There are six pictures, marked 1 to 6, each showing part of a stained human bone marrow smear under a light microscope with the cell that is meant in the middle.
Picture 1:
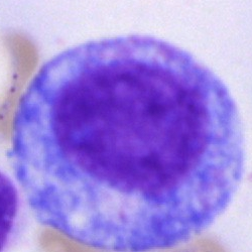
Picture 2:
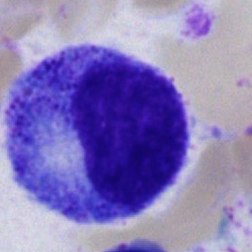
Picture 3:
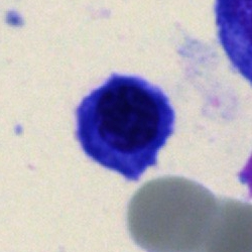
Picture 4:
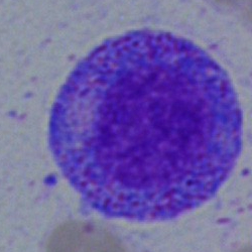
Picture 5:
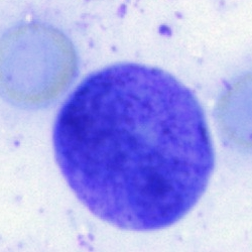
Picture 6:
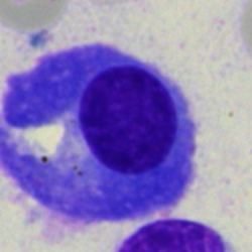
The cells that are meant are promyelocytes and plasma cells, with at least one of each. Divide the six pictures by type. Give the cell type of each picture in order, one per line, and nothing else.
promyelocyte
promyelocyte
plasma cell
promyelocyte
promyelocyte
plasma cell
